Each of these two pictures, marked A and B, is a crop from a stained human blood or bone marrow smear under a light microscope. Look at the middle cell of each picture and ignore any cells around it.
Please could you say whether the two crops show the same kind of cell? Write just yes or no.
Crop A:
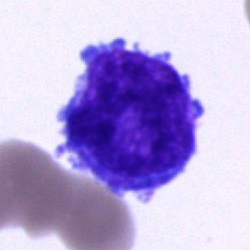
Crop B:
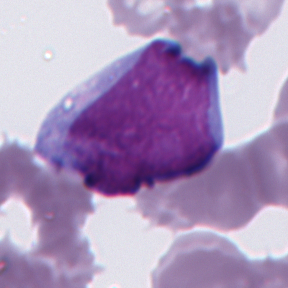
yes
